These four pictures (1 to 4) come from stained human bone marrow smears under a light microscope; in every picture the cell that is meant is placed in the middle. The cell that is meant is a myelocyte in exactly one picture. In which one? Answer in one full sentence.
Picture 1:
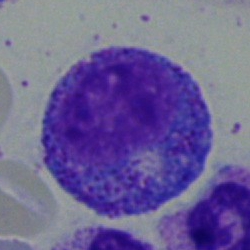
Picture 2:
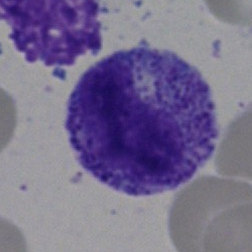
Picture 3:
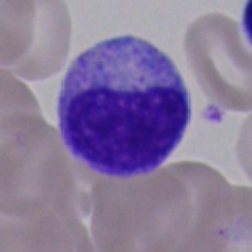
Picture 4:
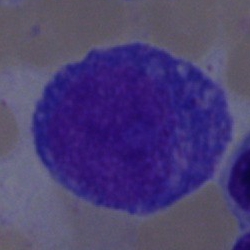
The picture with the myelocyte is 3.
